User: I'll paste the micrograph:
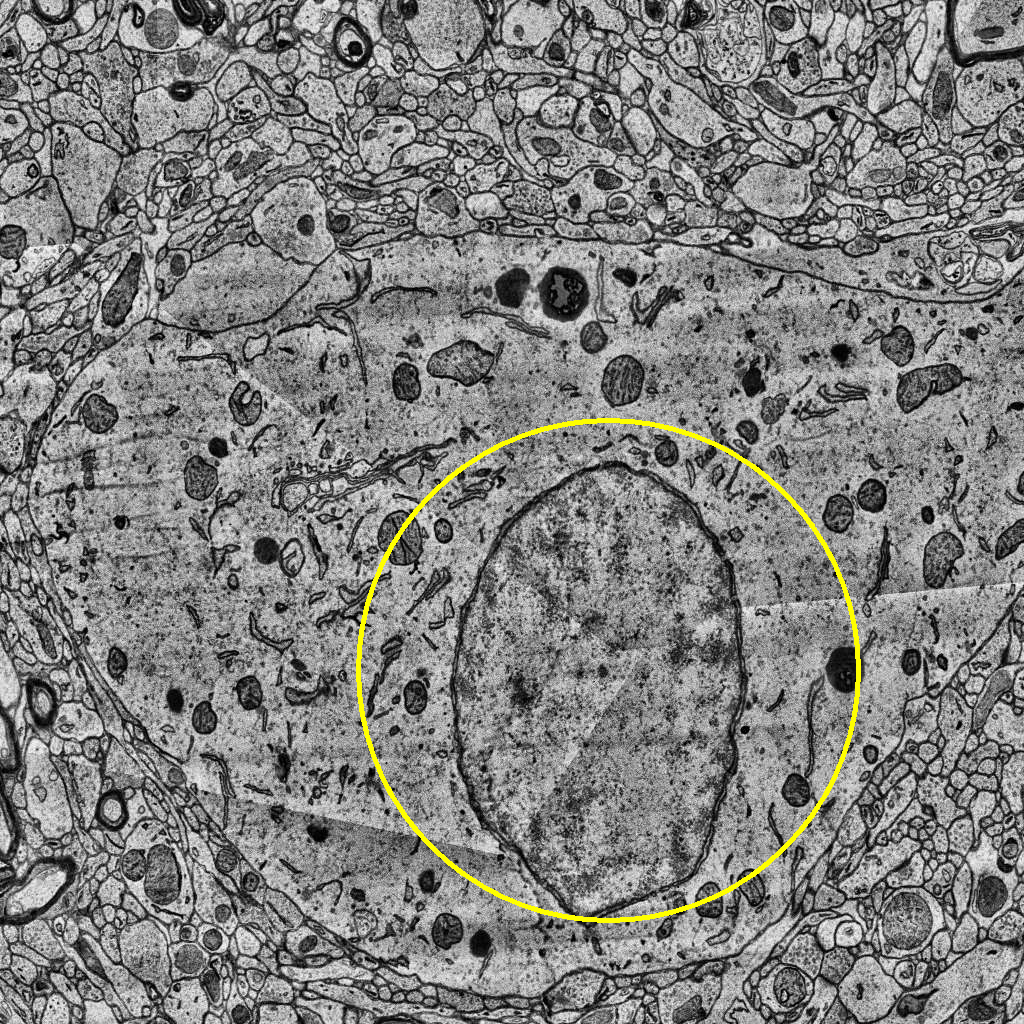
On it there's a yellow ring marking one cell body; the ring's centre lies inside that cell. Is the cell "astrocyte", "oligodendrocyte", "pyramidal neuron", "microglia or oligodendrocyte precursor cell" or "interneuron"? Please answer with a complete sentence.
The cell at the centre of the yellow ring is a pyramidal neuron.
